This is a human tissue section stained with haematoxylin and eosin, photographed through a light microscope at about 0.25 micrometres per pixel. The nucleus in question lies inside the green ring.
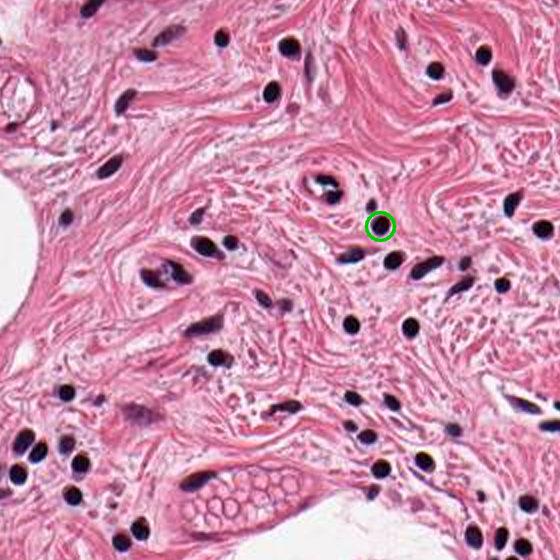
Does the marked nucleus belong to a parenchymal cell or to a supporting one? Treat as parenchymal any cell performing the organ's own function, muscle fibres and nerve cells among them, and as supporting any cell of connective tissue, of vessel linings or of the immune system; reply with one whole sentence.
It is a supporting cell to which the marked nucleus belongs.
